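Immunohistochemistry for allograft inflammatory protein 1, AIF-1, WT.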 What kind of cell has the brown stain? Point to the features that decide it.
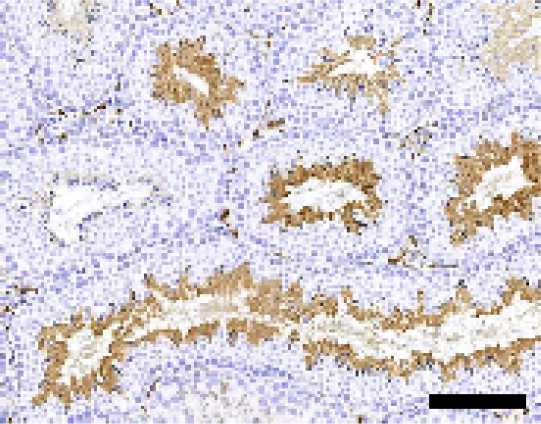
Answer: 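Spermatids. Brown stain lines the innermost layer of the tubules around the lumen. Basal cell layers remain blue.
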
